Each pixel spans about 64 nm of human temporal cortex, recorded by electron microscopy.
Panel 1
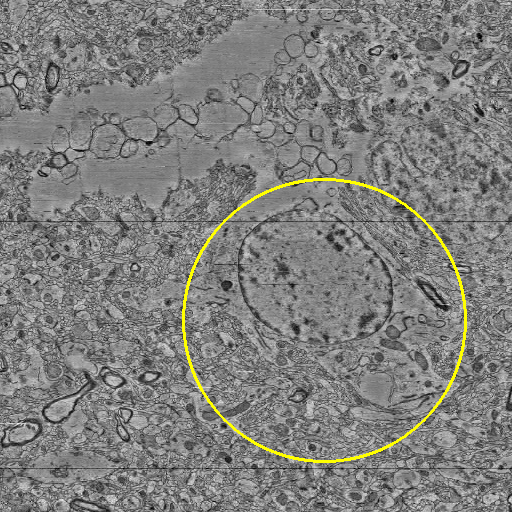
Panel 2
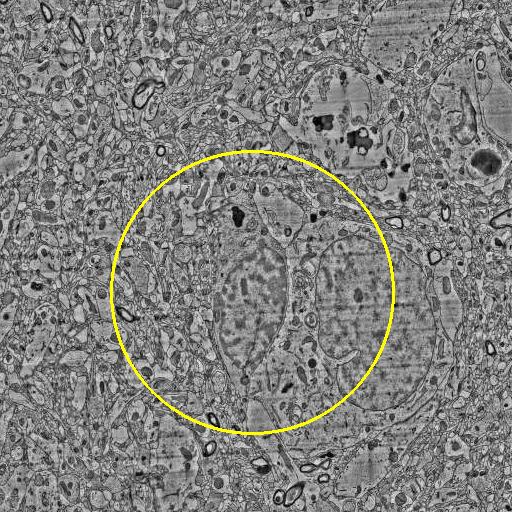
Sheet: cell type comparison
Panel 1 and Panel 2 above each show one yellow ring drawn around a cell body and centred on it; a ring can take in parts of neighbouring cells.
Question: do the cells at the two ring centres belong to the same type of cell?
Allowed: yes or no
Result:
yes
